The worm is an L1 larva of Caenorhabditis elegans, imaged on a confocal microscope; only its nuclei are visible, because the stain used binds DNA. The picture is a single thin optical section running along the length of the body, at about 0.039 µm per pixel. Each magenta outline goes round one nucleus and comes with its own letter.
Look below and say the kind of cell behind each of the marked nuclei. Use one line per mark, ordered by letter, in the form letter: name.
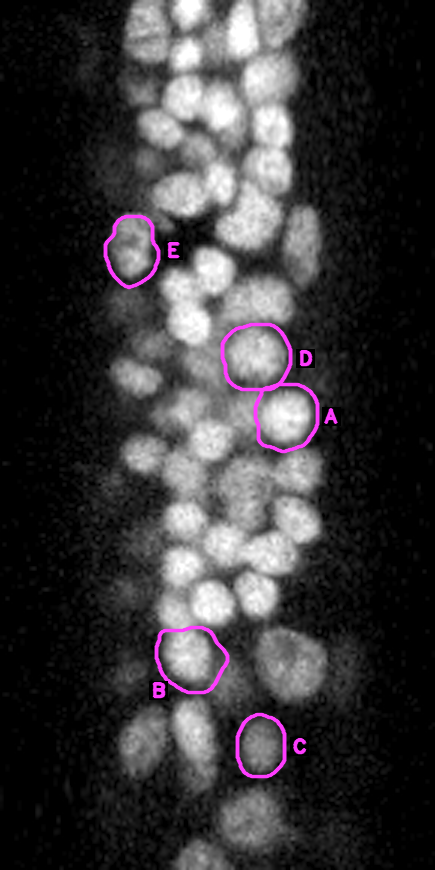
A: neuron
B: neuron
C: pharyngeal marginal cell
D: neuron
E: body wall muscle cell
